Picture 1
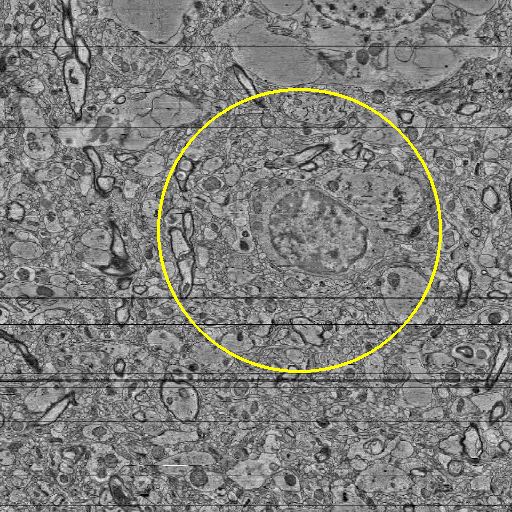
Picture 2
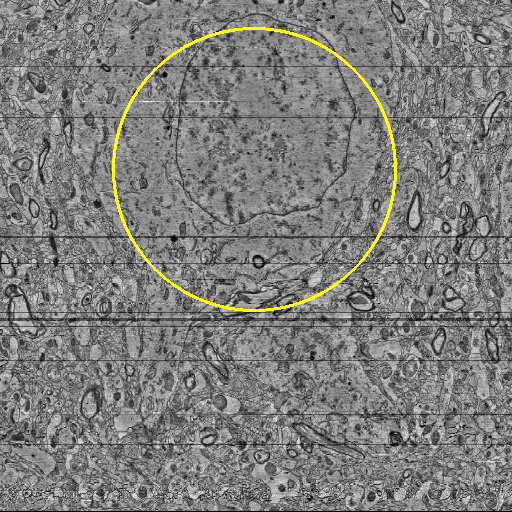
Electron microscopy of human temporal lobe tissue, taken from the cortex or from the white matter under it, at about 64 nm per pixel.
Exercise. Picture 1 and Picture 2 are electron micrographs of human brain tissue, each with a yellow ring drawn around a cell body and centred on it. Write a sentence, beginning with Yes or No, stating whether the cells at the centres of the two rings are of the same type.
No, the cells at the centres of the rings are of two types.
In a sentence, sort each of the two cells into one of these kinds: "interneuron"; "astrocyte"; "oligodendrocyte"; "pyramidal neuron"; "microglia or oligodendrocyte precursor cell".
The first of the two cells is an oligodendrocyte, and the second is a pyramidal neuron.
